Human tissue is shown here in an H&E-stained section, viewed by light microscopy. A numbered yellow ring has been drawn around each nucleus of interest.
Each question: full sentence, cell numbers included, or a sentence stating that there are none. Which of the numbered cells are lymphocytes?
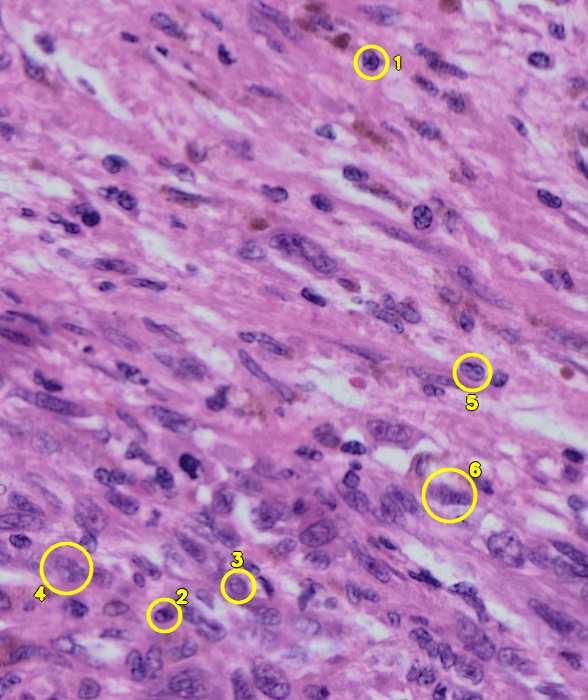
In this section, the cells numbered 1, 2 and 5 are lymphocytes.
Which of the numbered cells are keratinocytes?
With respect to the numbered cells, none are keratinocytes.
